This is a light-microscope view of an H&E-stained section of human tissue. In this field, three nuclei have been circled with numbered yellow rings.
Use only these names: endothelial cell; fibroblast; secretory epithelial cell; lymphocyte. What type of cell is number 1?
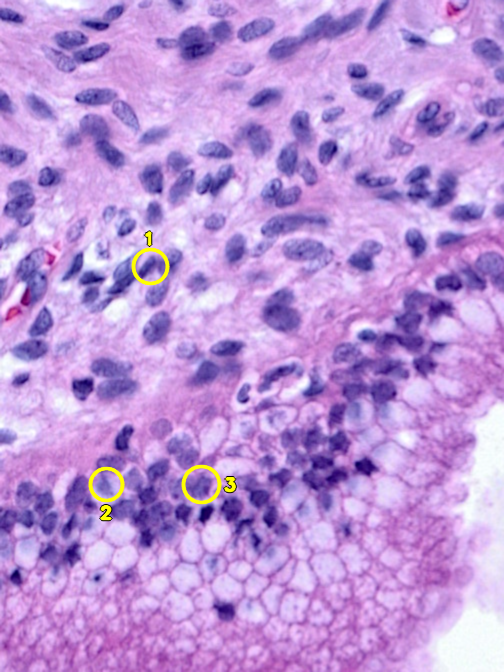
fibroblast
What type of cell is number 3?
secretory epithelial cell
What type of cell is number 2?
secretory epithelial cell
